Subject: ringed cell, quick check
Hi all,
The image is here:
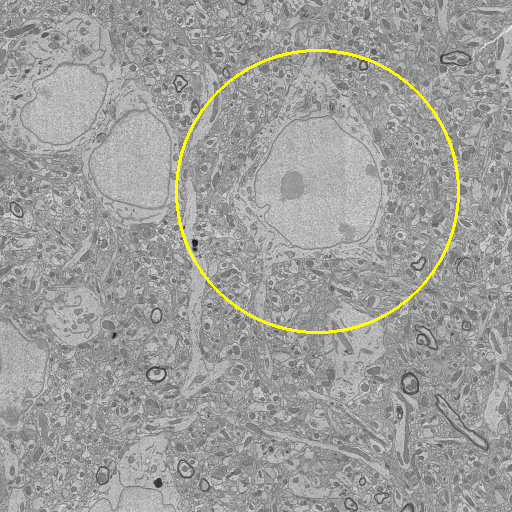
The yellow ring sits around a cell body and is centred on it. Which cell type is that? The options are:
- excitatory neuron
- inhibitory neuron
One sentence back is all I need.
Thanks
That ringed cell is an excitatory neuron.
